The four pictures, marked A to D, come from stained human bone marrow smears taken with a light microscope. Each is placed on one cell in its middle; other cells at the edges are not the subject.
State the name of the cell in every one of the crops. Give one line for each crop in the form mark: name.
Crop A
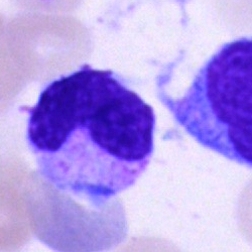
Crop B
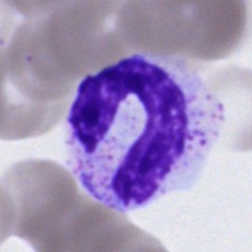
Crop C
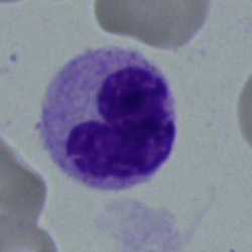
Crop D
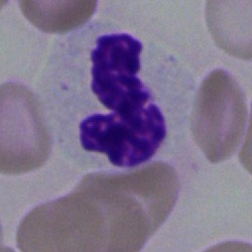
A: band neutrophil
B: band neutrophil
C: band neutrophil
D: segmented neutrophil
